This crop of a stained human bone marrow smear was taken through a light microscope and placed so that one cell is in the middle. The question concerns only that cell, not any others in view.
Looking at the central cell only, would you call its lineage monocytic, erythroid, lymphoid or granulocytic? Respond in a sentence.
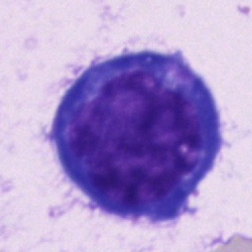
The lineage of the cell at the center of the crop is erythroid.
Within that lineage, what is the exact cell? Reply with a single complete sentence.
The central cell, amid any neighbouring cells, is a proerythroblast.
